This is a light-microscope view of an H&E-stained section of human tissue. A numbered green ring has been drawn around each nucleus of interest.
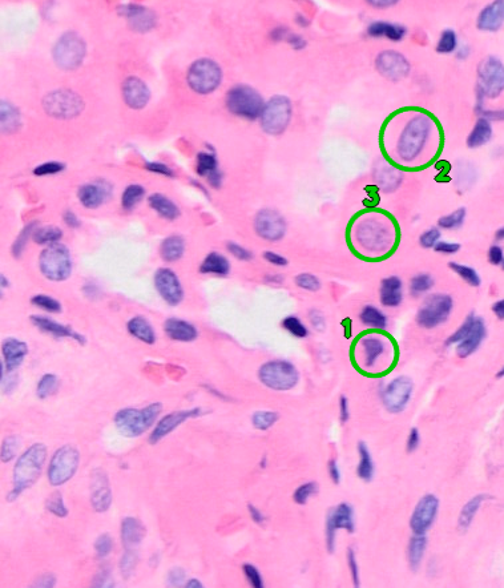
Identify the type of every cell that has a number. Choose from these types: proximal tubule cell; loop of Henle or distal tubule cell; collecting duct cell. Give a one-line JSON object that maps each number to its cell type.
{"1": "collecting duct cell", "2": "proximal tubule cell", "3": "proximal tubule cell"}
